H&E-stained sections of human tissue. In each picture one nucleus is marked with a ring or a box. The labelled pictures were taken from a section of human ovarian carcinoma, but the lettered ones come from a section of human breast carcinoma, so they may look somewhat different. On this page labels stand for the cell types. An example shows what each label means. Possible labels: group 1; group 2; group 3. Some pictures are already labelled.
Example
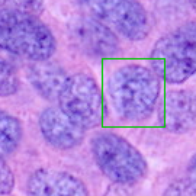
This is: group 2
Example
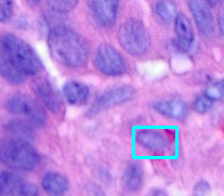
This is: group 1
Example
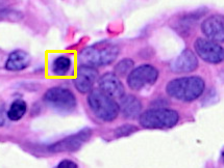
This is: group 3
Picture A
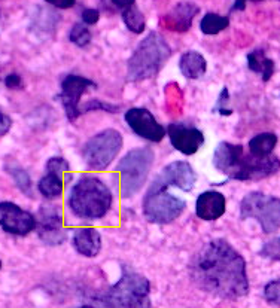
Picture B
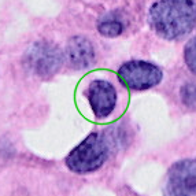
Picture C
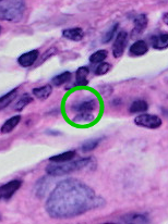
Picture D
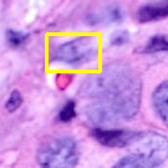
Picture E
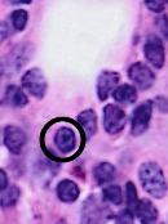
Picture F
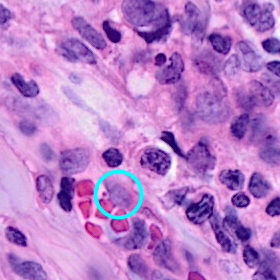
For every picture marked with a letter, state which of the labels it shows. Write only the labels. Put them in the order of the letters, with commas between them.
group 2, group 2, group 3, group 1, group 3, group 1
